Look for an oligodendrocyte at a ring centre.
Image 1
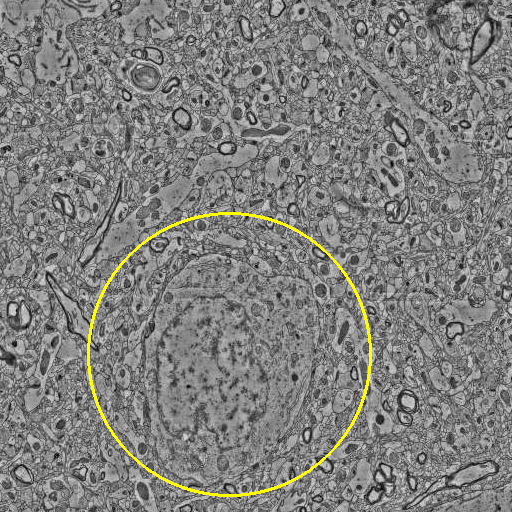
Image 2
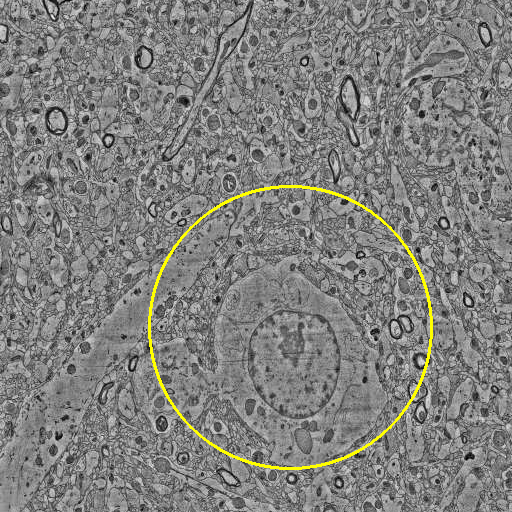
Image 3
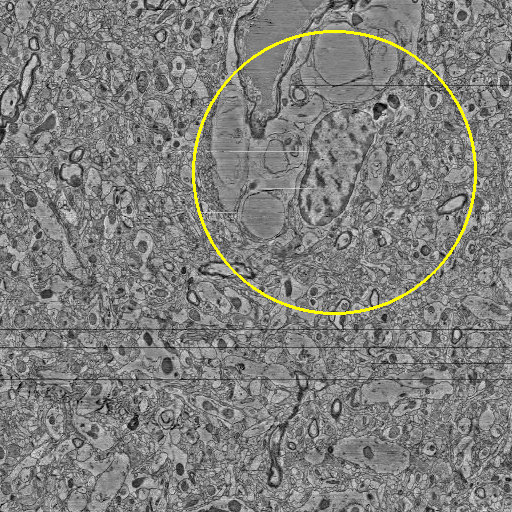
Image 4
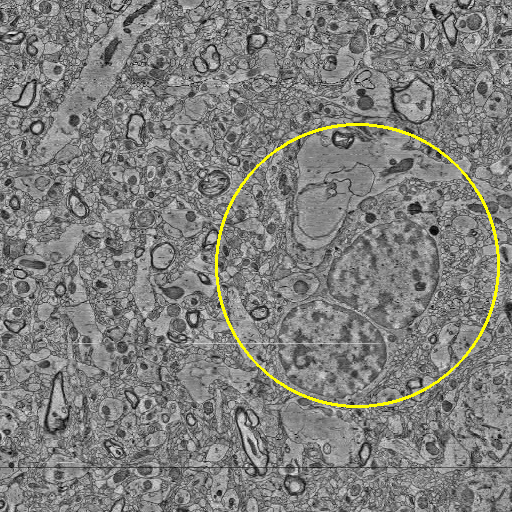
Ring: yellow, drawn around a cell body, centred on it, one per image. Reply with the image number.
4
